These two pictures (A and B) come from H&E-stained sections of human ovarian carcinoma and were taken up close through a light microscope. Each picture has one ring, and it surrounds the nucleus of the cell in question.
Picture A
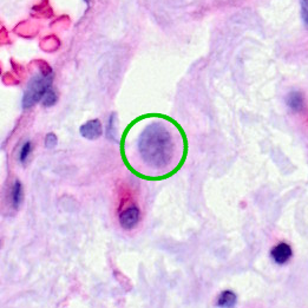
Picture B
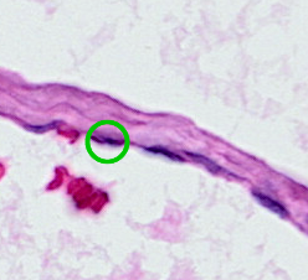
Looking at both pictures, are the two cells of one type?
yes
